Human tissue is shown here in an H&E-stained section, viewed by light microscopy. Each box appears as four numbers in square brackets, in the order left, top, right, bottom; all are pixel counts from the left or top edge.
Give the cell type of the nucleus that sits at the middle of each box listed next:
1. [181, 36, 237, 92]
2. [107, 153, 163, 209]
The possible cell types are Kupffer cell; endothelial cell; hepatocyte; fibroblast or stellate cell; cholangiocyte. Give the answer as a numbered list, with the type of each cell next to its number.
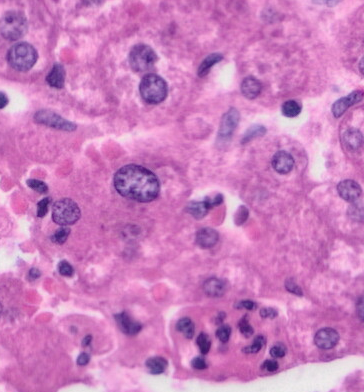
1. endothelial cell
2. hepatocyte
